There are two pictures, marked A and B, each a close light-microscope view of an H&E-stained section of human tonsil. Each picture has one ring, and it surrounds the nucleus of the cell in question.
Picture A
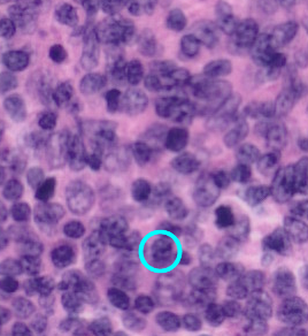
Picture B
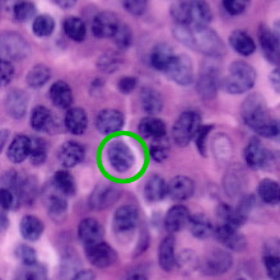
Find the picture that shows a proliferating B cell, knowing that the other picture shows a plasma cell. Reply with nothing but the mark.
A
